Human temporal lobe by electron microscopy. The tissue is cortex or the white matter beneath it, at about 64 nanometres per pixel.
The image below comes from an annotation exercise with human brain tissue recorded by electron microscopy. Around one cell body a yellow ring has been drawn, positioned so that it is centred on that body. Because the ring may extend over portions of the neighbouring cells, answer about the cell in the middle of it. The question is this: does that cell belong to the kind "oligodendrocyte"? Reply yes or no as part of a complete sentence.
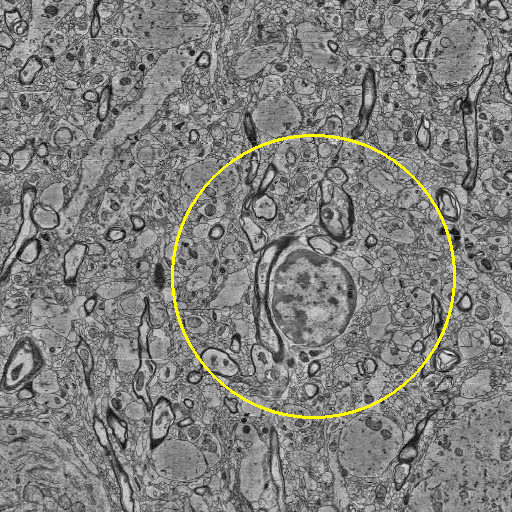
No, in the image the cell in the middle of the ring is of another kind.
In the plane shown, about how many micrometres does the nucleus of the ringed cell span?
Roughly 6 micrometres by 5 micrometres, in this plane.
